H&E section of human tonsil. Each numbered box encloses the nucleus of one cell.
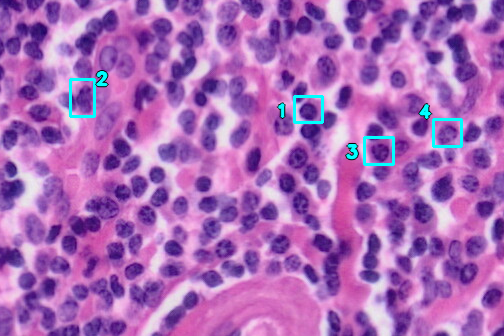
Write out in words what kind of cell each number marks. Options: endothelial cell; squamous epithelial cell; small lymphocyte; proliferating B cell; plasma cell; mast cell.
Cell 1 is a plasma cell, cell 2 is an endothelial cell, cell 3 is a plasma cell and cell 4 is a plasma cell.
